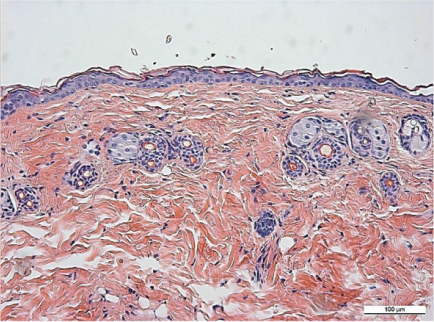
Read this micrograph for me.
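Skin with a thin epidermis only a few cell layers deep, lying flat over the dermis without downward projections. The dermis is made of loosely arranged pink collagen bundles. Round and oval epithelial profiles of hair follicles with purple nuclei are scattered in the upper dermis.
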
